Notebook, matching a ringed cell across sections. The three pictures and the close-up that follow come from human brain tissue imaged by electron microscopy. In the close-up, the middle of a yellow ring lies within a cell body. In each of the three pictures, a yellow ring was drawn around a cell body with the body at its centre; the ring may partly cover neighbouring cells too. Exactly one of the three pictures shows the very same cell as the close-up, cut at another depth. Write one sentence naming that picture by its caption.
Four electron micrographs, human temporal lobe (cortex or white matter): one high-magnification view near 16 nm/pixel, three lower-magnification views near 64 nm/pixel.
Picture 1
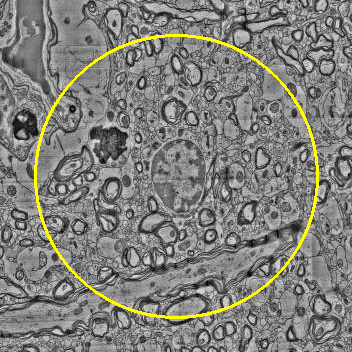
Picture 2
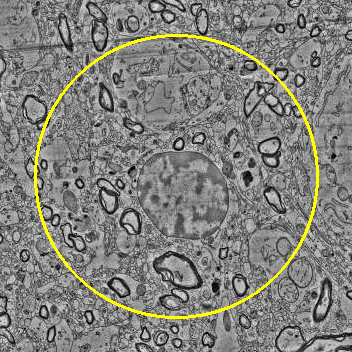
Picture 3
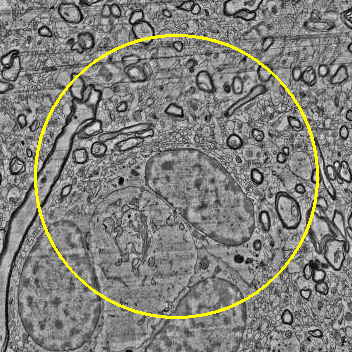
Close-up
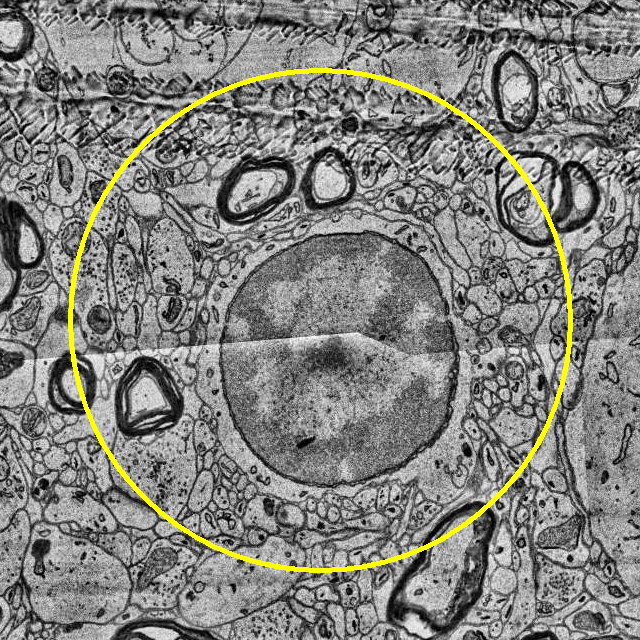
The close-up shows the same cell that is ringed in Picture 2.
